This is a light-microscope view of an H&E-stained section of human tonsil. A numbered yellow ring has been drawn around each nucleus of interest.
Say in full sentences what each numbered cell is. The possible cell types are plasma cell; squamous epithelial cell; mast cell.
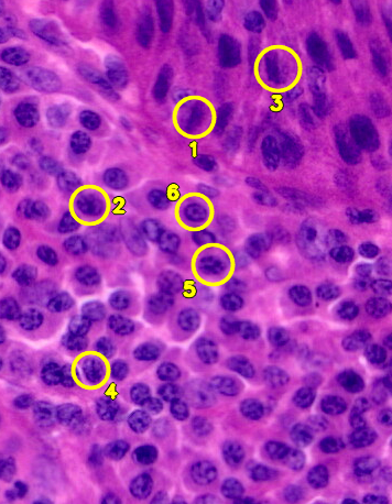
Cell 1 is a squamous epithelial cell, cell 2 is a plasma cell, cell 3 is a squamous epithelial cell, cell 4 is a plasma cell, cell 5 is a plasma cell and cell 6 is a plasma cell.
